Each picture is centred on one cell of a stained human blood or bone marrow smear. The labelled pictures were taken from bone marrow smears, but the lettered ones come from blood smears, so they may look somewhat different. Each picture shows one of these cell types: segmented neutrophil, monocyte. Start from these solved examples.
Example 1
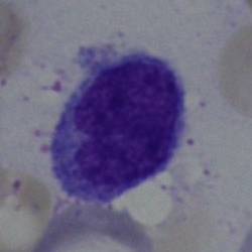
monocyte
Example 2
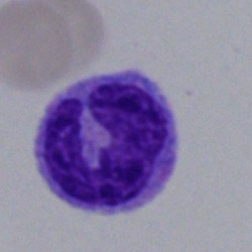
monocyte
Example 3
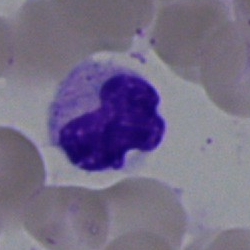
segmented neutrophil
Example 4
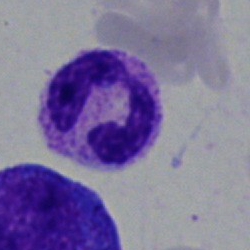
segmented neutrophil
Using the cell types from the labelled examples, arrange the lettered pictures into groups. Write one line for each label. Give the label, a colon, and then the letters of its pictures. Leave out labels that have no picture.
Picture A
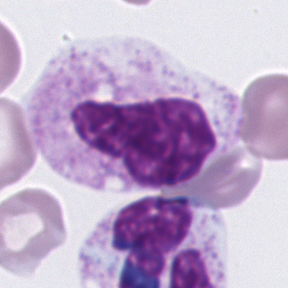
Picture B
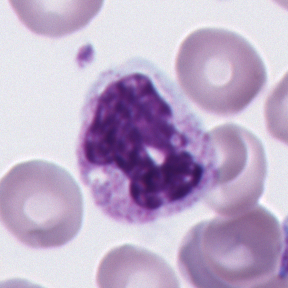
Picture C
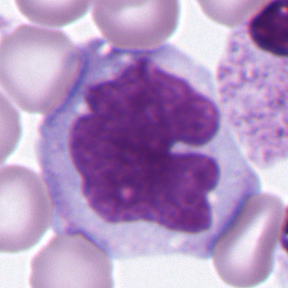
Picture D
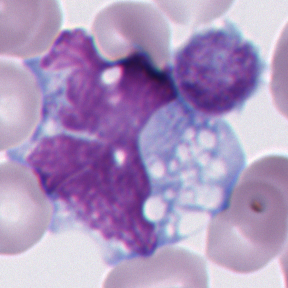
segmented neutrophil: A, B
monocyte: C, D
